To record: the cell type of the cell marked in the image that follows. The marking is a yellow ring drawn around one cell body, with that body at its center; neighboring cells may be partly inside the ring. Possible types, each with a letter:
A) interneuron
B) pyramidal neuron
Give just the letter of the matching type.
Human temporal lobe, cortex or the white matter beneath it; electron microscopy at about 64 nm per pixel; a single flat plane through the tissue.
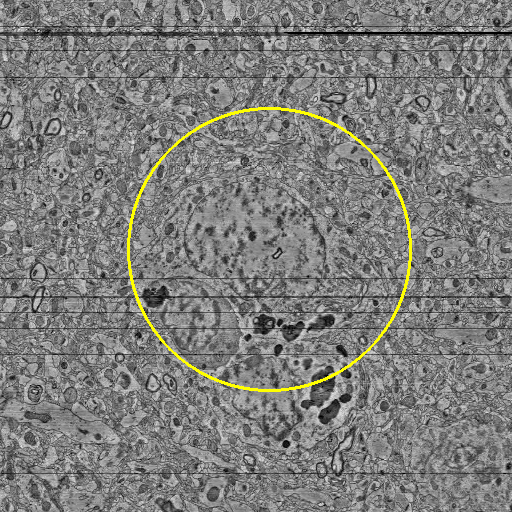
A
